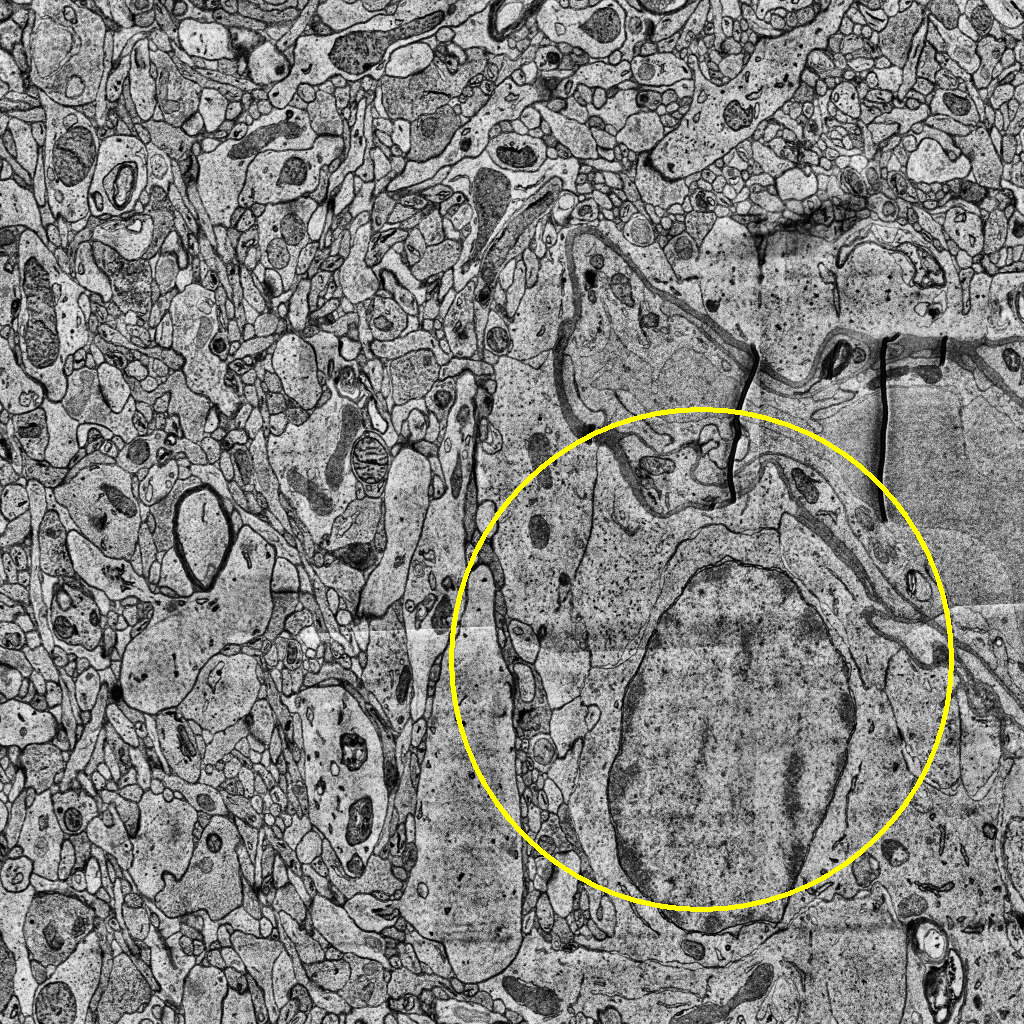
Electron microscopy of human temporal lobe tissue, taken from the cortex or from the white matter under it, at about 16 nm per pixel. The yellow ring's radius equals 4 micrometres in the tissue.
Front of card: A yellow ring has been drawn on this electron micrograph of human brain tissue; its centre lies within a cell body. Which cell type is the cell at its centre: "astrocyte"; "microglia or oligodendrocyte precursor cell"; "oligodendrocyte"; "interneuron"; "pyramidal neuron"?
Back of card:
microglia or oligodendrocyte precursor cell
